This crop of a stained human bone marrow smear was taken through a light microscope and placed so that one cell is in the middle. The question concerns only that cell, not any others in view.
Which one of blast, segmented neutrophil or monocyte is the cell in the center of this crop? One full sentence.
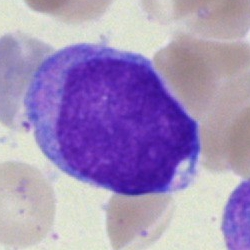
Occupying the centre of the crop is a blast.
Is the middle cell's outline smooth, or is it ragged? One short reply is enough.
Its outline is smooth, with no projections anywhere along the edge.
